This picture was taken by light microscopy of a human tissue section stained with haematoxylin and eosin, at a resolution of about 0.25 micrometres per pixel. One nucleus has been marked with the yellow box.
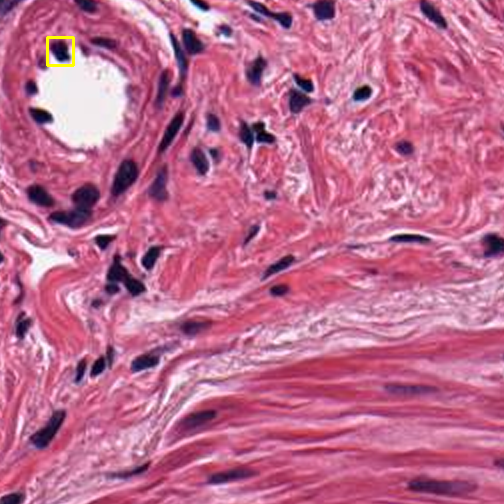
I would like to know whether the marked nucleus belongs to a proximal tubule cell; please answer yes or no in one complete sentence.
No, the marked nucleus is not that of a proximal tubule cell but that of a supporting cell.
